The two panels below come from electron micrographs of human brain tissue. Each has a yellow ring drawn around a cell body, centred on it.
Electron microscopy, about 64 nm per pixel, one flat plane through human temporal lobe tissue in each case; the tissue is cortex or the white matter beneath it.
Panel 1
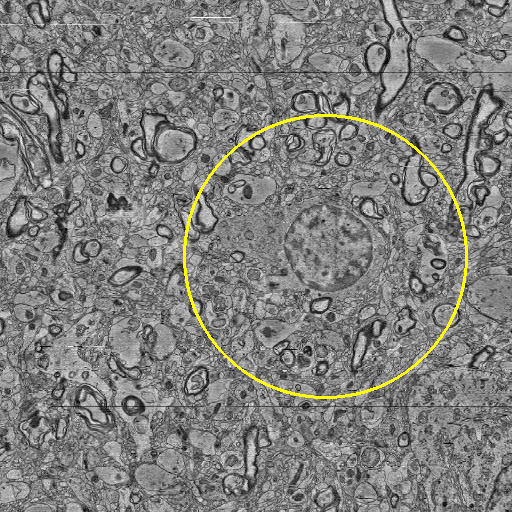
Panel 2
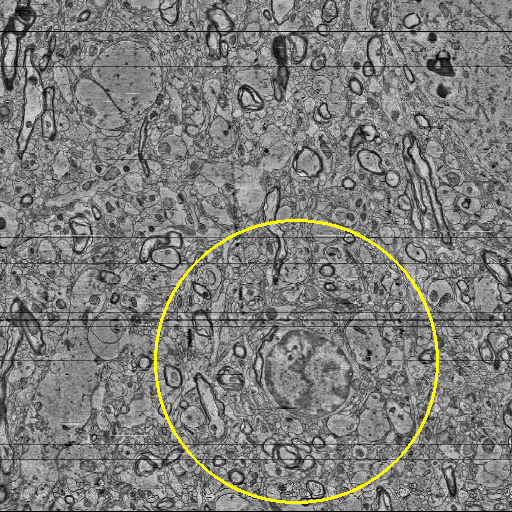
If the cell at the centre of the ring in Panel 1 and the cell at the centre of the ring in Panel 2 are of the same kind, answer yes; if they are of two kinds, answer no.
yes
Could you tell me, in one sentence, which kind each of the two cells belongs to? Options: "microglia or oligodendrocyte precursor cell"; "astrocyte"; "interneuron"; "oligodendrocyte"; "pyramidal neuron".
Each of the two rings is centred on an oligodendrocyte.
